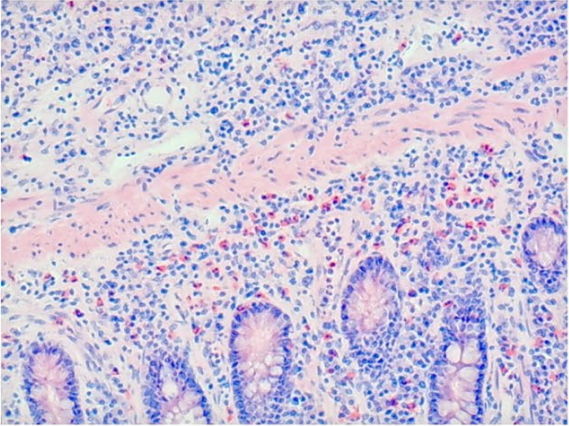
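Along the bottom are glands lined by columnar epithelium with pale mucous cells. Above them runs a band of pink smooth muscle. Dense sheets of small cells with round blue nuclei fill the tissue on both sides of the band and press between the glands, and scattered cells with red granules lie among them.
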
